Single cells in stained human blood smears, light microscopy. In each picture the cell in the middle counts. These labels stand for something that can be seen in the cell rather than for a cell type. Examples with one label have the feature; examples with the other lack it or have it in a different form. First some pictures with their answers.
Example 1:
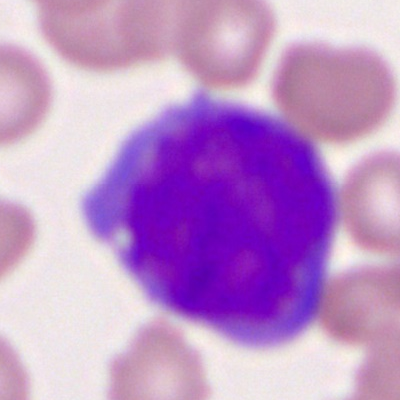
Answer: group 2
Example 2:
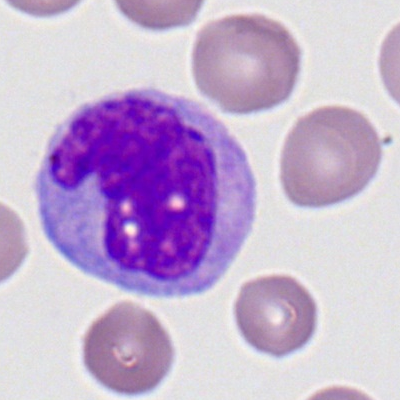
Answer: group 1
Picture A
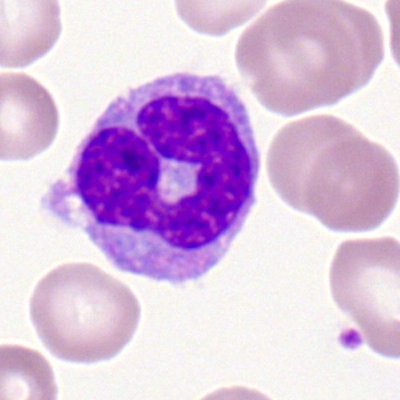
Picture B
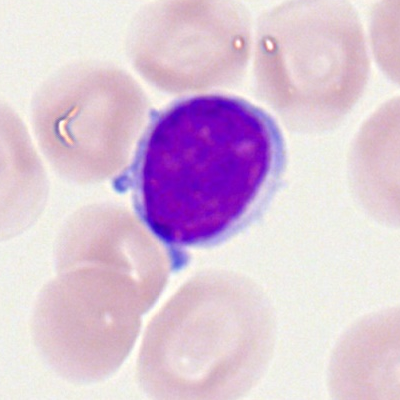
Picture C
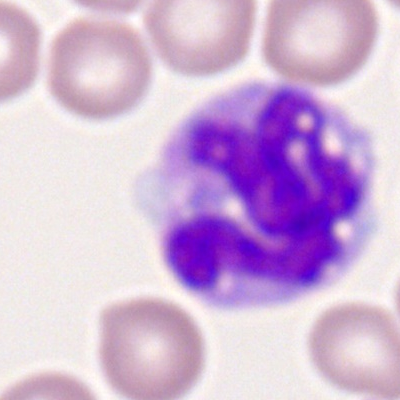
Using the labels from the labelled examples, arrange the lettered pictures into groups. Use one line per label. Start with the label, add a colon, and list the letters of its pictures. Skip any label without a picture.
group 2: A, B, C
